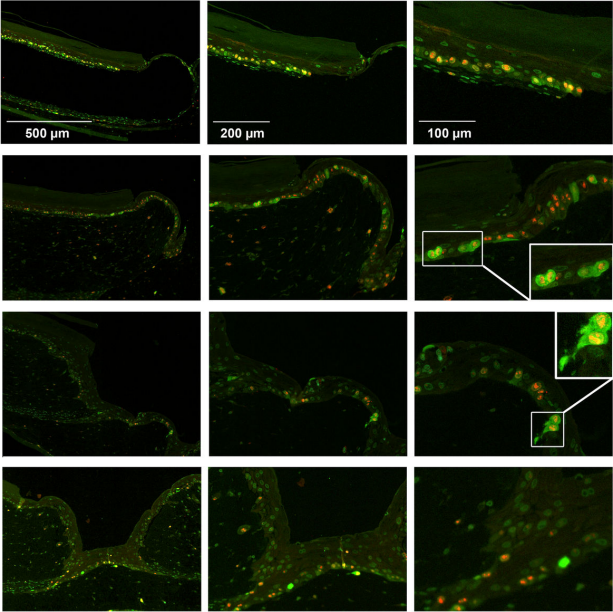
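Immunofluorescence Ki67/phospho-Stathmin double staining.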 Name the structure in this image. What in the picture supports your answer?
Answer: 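Wound edges. A multilayered epithelium thins and curves down into a gap in the tissue. The epithelial sheet ends or folds at the margin of the gap.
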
